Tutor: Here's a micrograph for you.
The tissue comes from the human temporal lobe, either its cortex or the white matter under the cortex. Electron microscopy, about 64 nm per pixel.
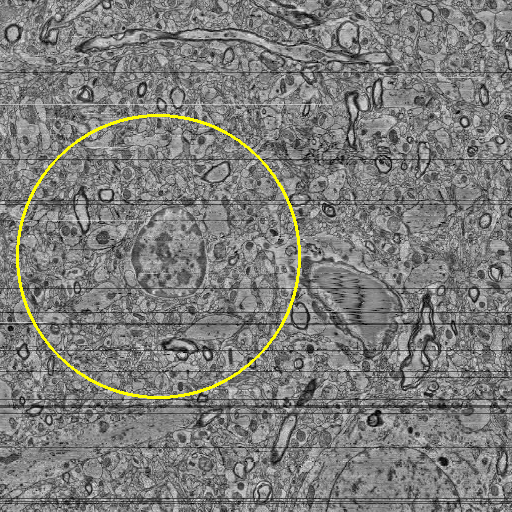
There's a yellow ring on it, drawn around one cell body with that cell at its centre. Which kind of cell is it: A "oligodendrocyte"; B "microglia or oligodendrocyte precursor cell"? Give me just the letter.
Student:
B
